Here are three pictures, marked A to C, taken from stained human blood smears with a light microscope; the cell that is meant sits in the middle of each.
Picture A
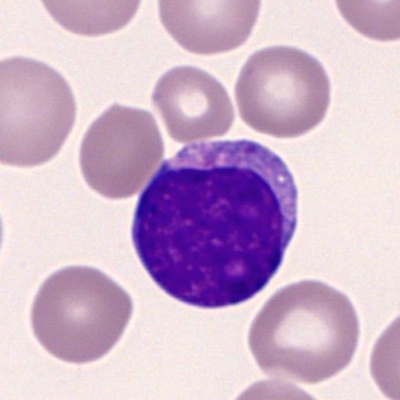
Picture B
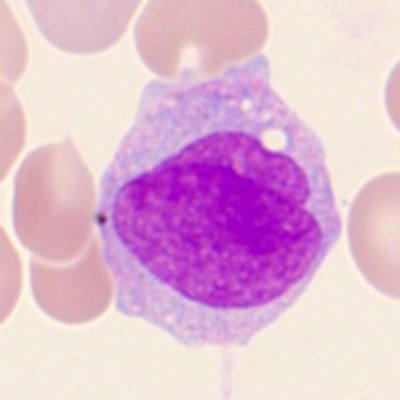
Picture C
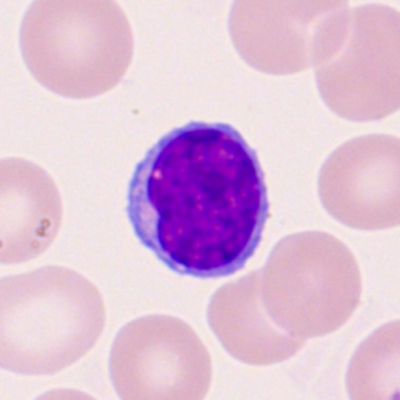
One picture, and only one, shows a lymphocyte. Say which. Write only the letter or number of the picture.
C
